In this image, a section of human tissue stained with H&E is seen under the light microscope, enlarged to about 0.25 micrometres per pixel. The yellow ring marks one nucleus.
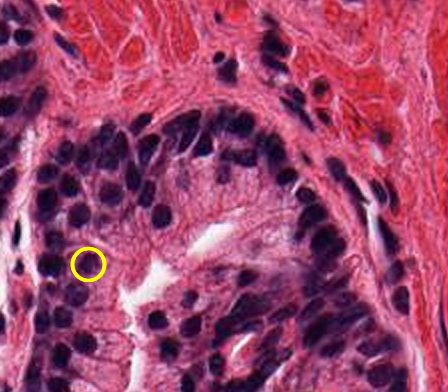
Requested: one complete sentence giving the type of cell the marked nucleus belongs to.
As shown here, the nucleus that is marked is that of a prostate gland luminal cell.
